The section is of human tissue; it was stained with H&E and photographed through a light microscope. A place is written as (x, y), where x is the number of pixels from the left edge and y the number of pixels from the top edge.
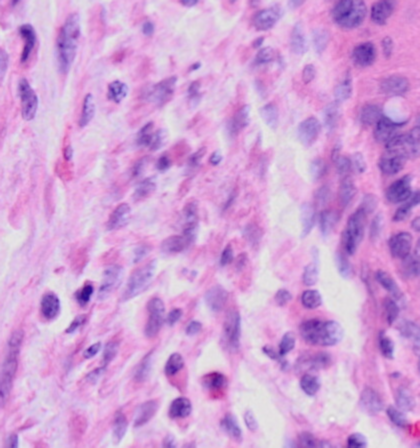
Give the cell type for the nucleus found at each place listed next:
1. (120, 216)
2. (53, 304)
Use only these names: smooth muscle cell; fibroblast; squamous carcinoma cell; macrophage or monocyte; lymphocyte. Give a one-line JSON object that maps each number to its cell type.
{"1": "fibroblast", "2": "lymphocyte"}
